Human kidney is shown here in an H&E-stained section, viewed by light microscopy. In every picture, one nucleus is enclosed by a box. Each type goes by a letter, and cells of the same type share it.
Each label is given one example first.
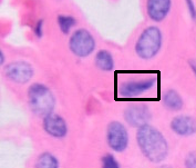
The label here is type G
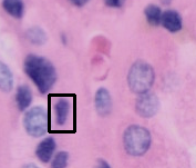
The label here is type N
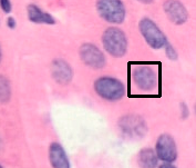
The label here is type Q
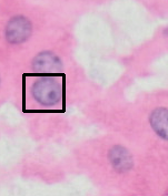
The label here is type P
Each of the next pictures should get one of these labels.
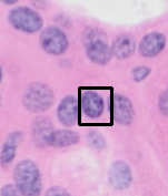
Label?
type N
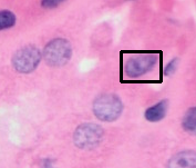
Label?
type P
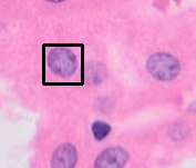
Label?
type P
